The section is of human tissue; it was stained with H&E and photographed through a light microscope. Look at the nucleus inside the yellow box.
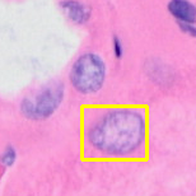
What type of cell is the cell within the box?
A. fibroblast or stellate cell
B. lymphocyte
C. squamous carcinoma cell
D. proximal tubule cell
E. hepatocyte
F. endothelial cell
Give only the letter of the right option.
D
